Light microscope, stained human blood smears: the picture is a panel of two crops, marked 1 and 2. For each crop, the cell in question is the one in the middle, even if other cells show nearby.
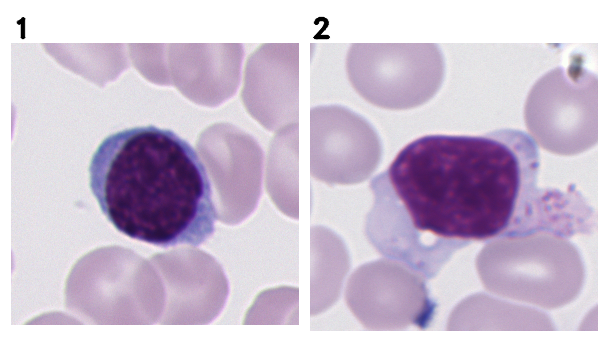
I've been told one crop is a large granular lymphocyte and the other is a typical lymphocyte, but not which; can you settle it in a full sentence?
The cell in crop 1 is a typical lymphocyte, and the one in crop 2 is a large granular lymphocyte.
